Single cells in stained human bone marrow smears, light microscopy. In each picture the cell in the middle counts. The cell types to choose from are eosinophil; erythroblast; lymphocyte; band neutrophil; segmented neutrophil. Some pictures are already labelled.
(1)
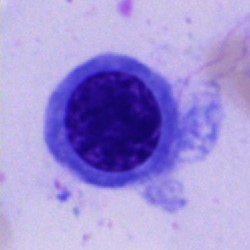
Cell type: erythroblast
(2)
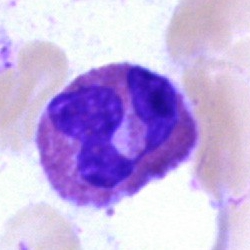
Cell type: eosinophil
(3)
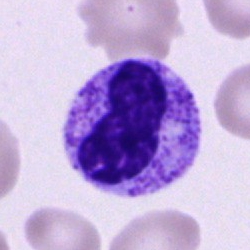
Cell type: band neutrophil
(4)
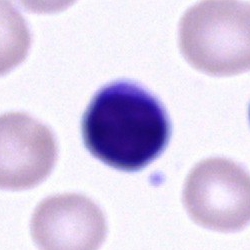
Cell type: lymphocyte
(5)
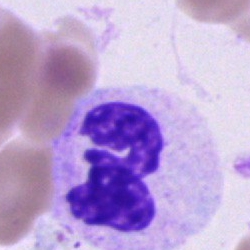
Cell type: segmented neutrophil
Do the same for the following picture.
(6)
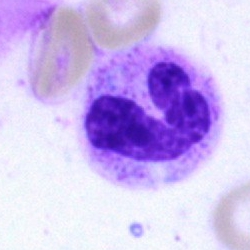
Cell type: band neutrophil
